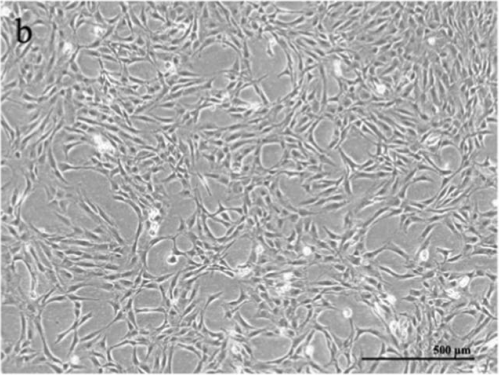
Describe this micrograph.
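Cultured cells forming a dense, nearly confluent monolayer, seen by phase contrast. Elongated spindle-shaped and flattened polygonal cells cover most of the surface. Their slender processes interlace into a crowded meshwork. In places the cells curve around small open spaces, which gives a net-like pattern across the field. Scattered across the layer are small, round, bright, refractile cells sitting on the monolayer, which are likely rounded-up or loosely attached cells.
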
